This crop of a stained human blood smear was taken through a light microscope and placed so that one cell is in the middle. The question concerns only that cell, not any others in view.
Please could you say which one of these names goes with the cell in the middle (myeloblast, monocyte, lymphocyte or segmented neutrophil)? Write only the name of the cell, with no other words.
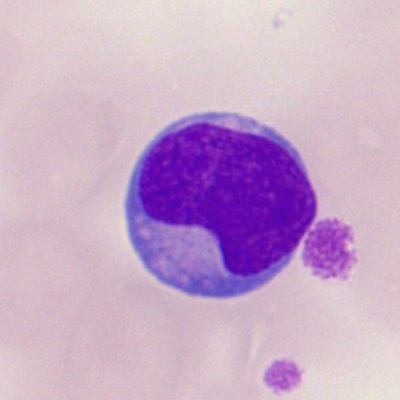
myeloblast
